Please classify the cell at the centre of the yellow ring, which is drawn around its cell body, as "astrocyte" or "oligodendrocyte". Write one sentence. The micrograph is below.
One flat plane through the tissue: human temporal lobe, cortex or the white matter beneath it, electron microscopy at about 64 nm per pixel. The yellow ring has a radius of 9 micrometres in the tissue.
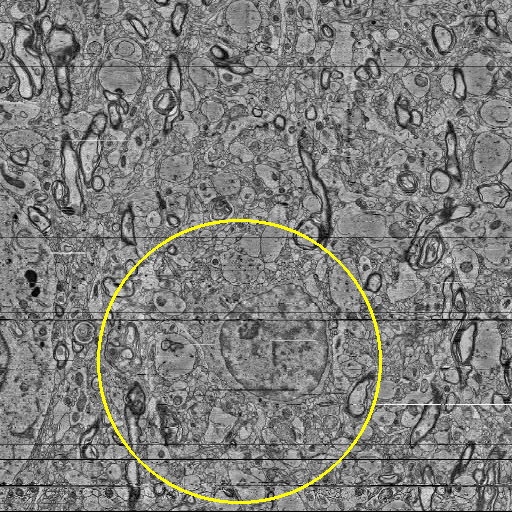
The cell at the ring's centre is classified as an oligodendrocyte.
